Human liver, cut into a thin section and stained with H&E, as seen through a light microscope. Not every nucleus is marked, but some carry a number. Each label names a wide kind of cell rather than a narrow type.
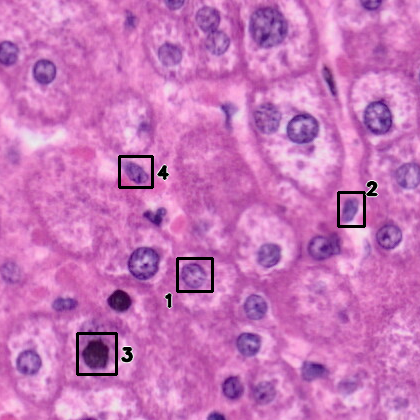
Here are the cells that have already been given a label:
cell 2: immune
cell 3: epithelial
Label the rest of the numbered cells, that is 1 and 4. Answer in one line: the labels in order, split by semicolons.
epithelial; immune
